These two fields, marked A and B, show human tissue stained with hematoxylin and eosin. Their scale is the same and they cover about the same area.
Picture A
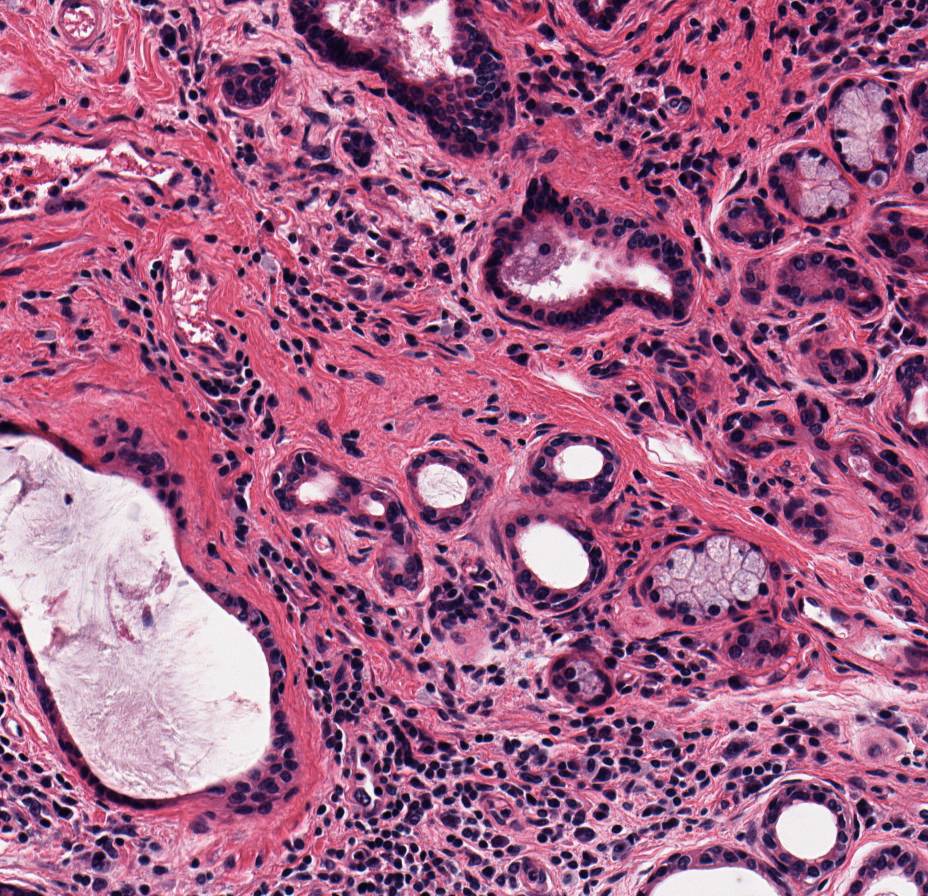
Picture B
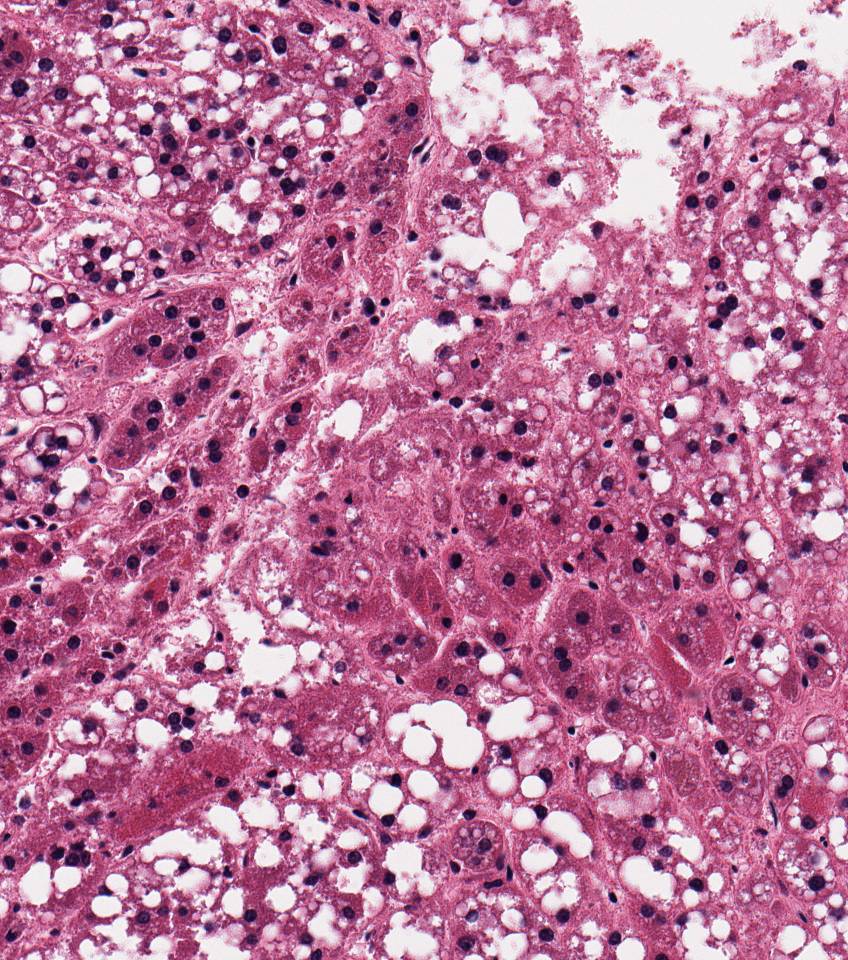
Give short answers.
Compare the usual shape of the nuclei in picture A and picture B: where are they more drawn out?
A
